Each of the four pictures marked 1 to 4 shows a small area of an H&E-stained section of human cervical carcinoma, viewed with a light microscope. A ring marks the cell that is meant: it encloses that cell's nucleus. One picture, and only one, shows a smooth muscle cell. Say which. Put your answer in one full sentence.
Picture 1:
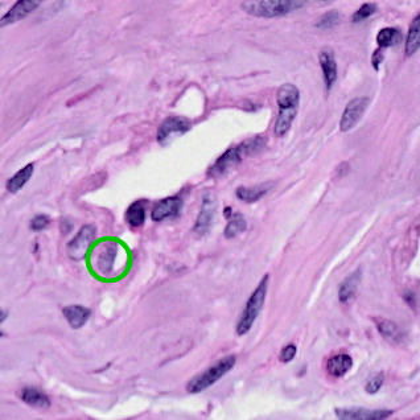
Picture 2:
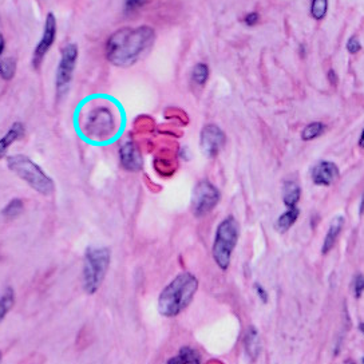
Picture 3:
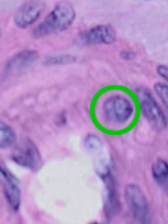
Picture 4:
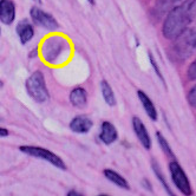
The smooth muscle cell is the one in picture 3.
